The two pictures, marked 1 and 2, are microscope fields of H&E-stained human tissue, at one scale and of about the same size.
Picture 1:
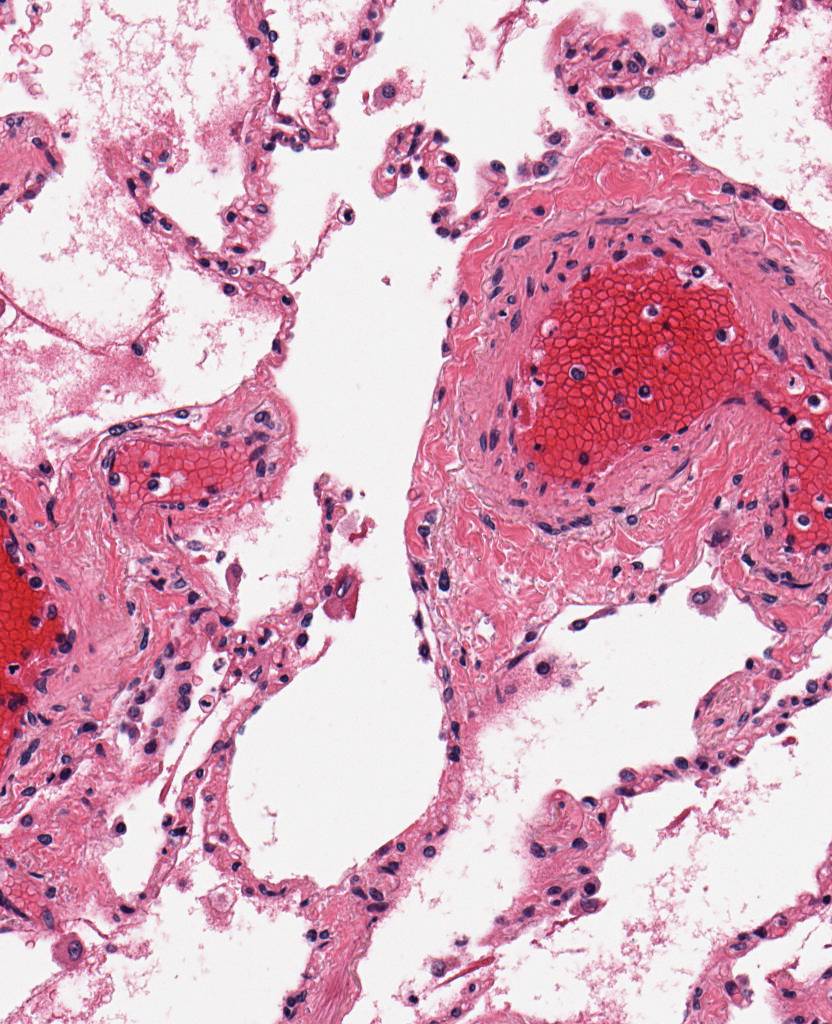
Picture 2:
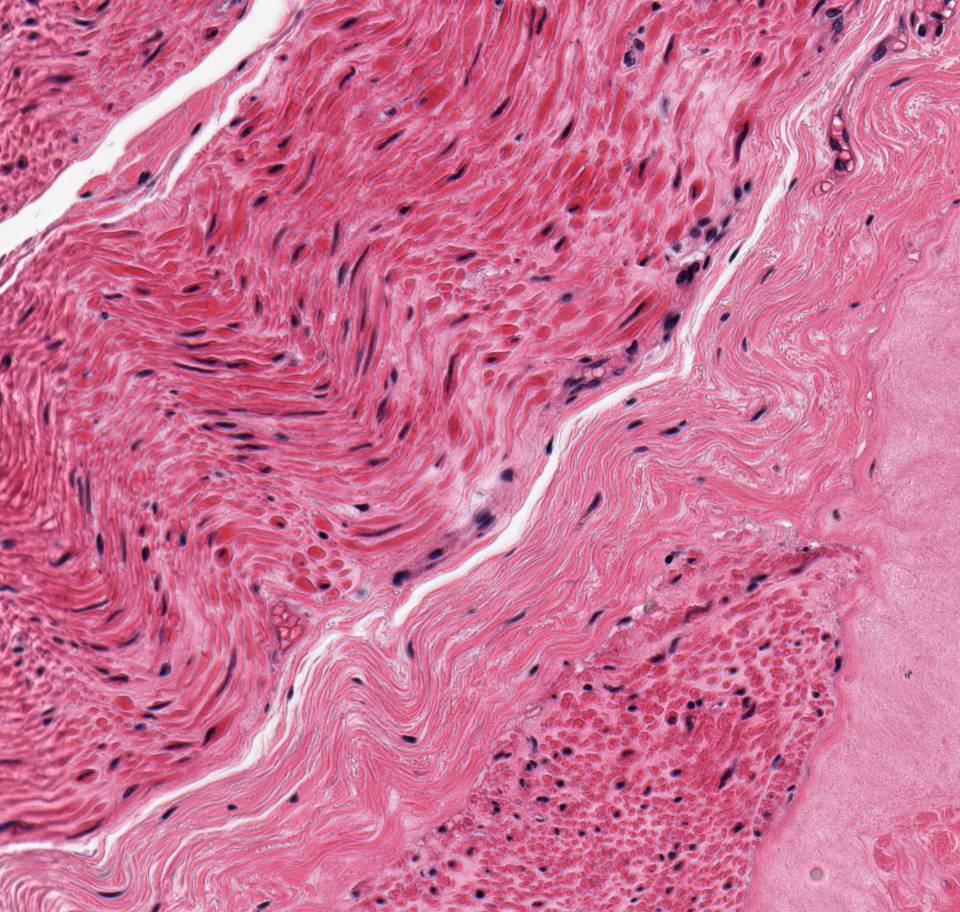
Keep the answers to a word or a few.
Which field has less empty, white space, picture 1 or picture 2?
2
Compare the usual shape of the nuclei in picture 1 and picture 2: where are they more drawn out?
2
